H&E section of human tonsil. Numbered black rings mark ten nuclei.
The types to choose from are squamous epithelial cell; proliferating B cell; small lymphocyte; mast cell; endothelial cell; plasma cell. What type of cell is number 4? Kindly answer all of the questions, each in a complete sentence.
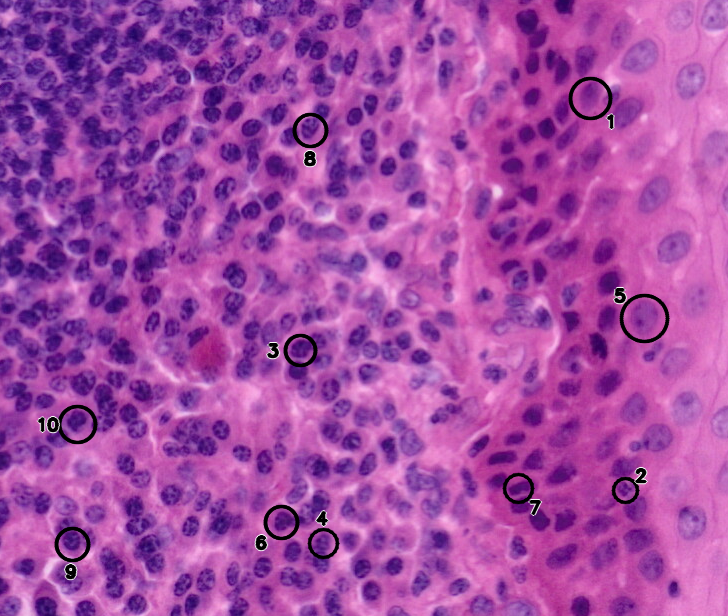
The cell that goes by number 4 is a plasma cell.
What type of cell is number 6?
Heads up, the cell numbered 6 is a plasma cell.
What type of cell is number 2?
The cell with the number 2 is a squamous epithelial cell.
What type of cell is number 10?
The mark numbered 10 indicates the nucleus of a plasma cell.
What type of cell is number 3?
At number 3, the marked cell is a plasma cell.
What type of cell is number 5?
The cell tagged with 5 in this tissue section is a squamous epithelial cell.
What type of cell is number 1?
The cell bearing label 1 corresponds to a squamous epithelial cell.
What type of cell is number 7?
Belonging to a squamous epithelial cell is the nucleus that carries the number 7.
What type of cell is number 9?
Here, the cell given the number 9 is a plasma cell.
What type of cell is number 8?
The expected answer is that cell 8 is a plasma cell.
